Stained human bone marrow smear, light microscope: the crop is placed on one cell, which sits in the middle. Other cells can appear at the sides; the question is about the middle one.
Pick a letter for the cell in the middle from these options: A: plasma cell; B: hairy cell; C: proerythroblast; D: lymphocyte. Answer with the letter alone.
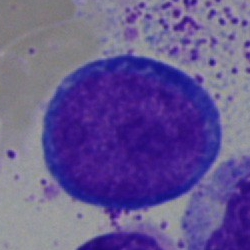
C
